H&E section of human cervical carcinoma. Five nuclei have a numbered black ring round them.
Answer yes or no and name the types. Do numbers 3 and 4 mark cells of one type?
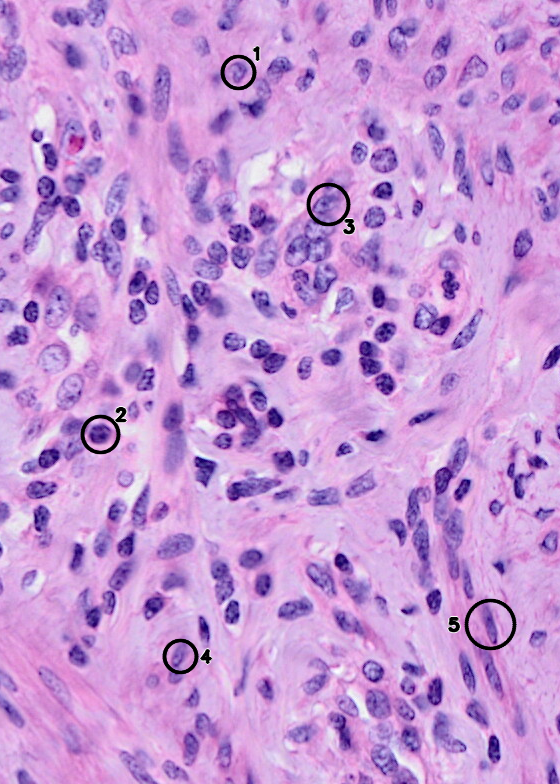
No, cell 3 is an endothelial cell, whereas cell 4, for its part, is a smooth muscle cell.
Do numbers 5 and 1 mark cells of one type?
Yes, cells 5 and 1 are two smooth muscle cells.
